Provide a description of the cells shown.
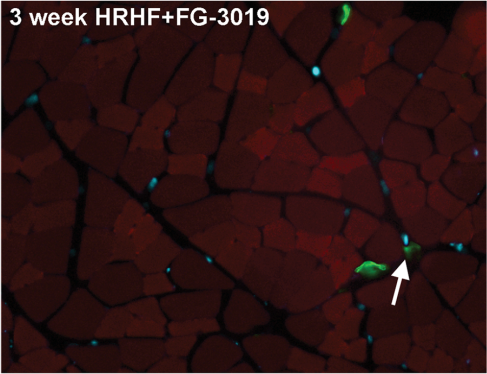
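This is a cross-section of skeletal muscle in which the myofibers appear as closely packed polygonal profiles with a dim, even red tone. Thin dark spaces separate neighbouring fibres and form a network across the field. Small bright cyan dots lie scattered in these spaces between the fibres. A few small green cells sit at the borders between fibres, and an arrow points to one of them near the lower right.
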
